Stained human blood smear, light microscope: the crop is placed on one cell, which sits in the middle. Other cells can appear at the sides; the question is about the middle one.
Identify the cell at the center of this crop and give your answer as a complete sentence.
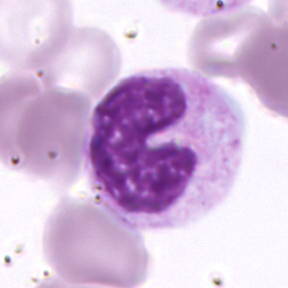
In the center of this field lies a band neutrophil.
